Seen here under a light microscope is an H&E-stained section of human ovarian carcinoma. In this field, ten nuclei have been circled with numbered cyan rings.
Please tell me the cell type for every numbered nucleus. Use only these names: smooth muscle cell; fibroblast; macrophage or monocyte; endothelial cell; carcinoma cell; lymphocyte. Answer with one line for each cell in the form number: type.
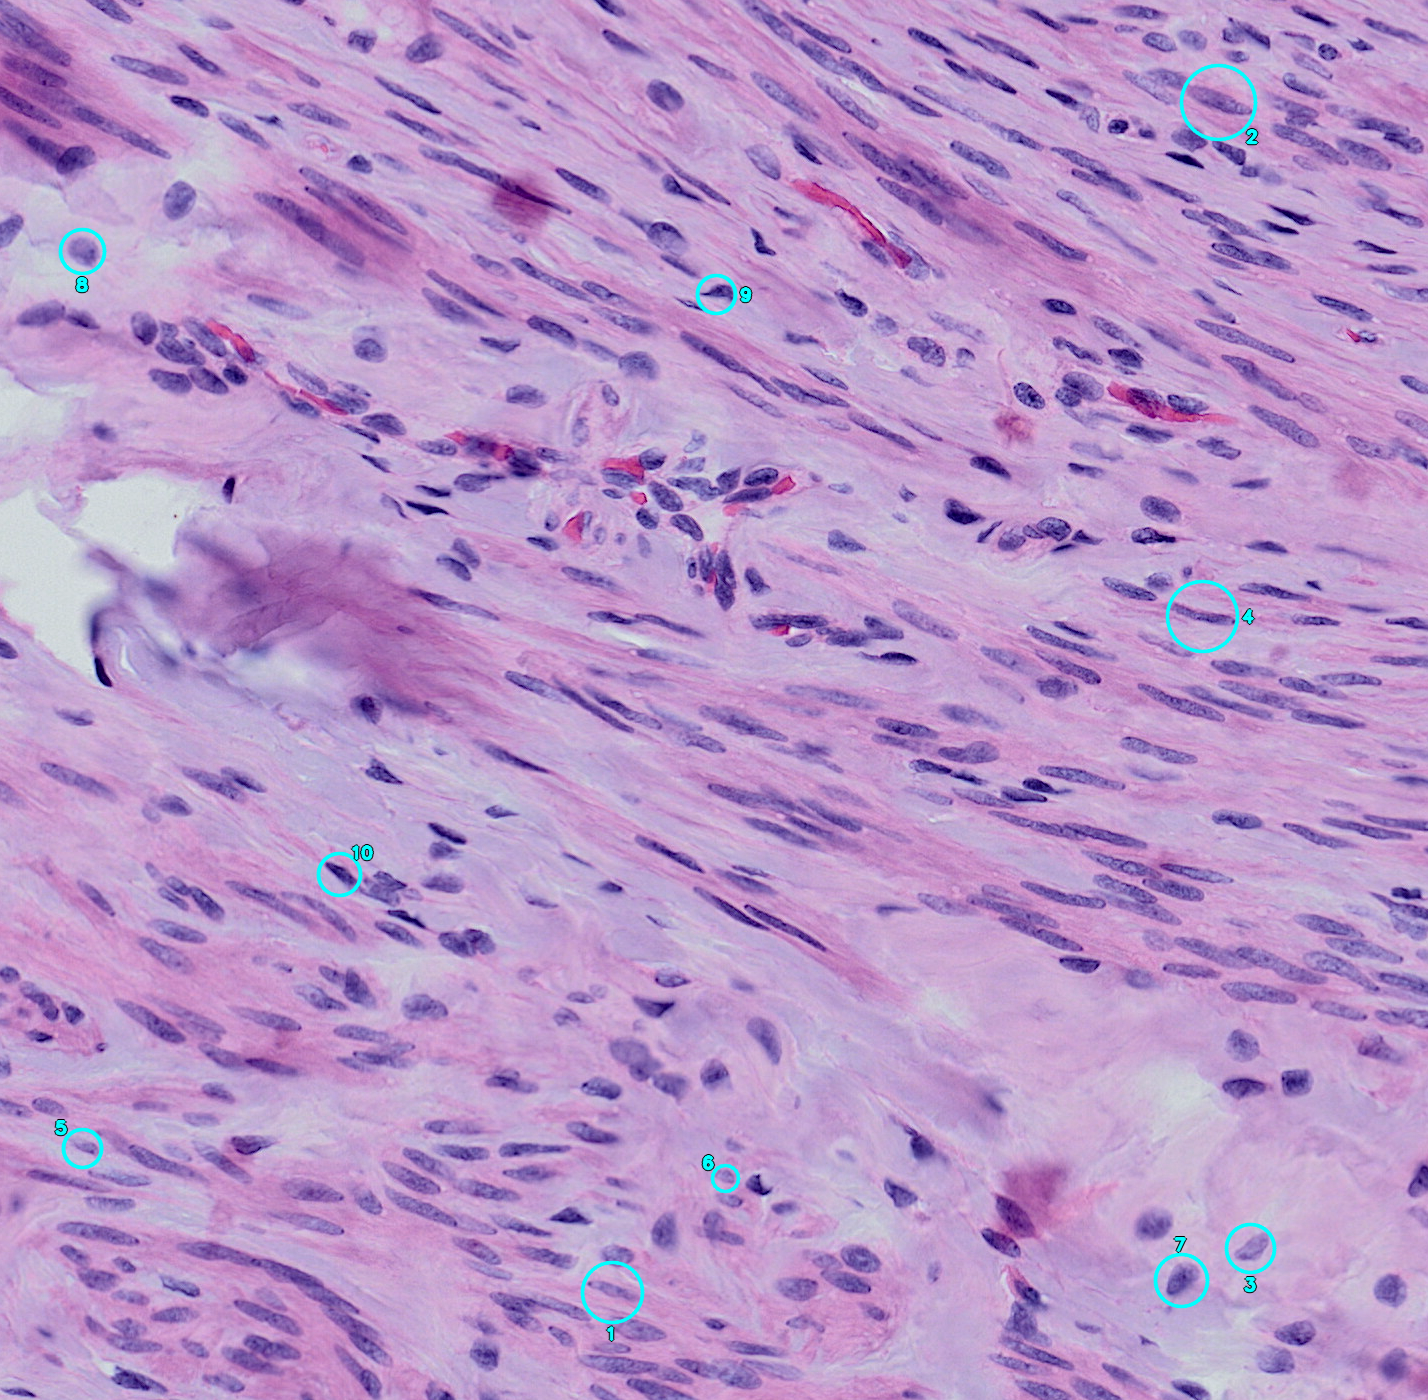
1: smooth muscle cell
2: smooth muscle cell
3: fibroblast
4: smooth muscle cell
5: smooth muscle cell
6: smooth muscle cell
7: fibroblast
8: fibroblast
9: fibroblast
10: smooth muscle cell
